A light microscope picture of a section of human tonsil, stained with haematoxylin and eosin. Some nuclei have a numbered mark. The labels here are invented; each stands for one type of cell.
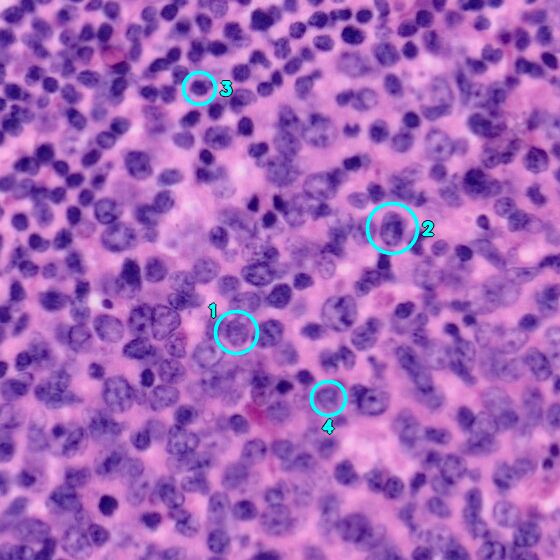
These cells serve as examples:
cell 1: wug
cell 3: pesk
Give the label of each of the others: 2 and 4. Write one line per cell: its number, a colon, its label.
2: wug
4: wug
